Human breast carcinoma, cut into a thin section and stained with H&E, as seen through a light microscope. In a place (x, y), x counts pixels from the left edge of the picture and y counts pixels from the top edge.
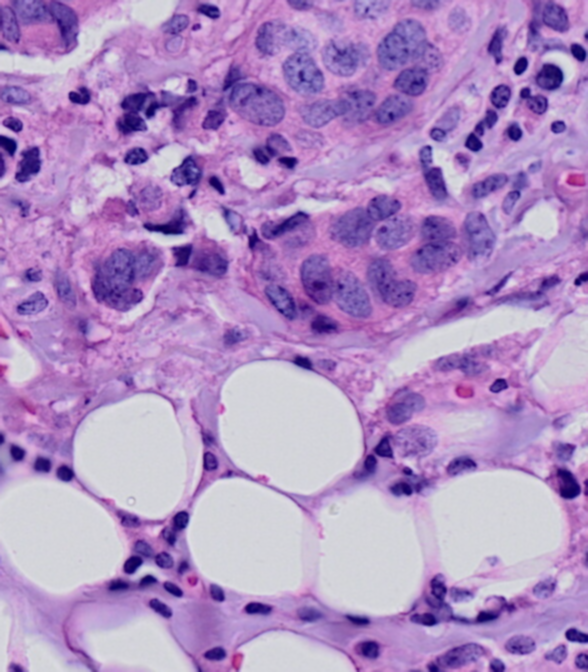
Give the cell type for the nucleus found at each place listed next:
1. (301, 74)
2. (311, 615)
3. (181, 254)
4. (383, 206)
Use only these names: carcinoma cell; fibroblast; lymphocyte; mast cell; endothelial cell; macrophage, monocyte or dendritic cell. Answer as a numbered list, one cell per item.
1. carcinoma cell
2. fibroblast
3. carcinoma cell
4. carcinoma cell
